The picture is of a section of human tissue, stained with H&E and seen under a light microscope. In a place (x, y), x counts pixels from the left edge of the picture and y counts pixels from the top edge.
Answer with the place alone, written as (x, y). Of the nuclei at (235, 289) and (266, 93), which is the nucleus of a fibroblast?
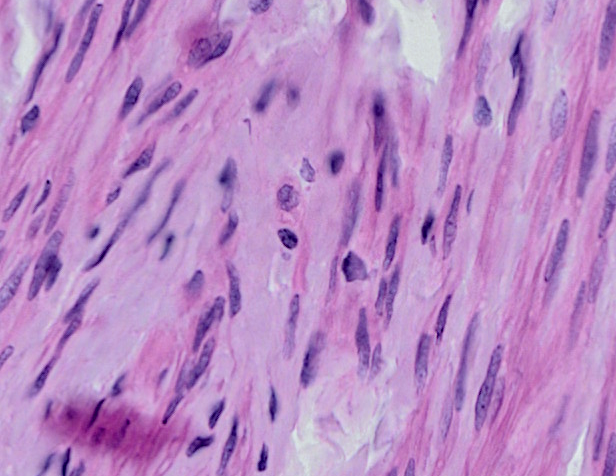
(266, 93)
